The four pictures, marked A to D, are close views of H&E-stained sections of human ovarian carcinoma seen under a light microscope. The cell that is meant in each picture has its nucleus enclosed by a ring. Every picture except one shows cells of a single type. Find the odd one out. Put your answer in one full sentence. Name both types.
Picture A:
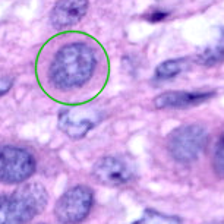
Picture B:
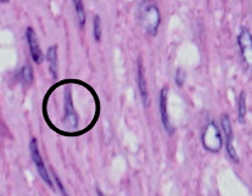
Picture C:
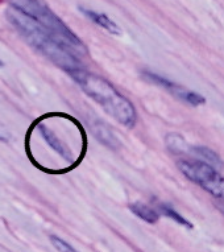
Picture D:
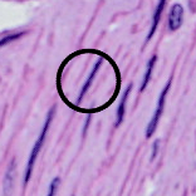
Unlike the rest, which show fibroblasts, picture A shows a carcinoma cell.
